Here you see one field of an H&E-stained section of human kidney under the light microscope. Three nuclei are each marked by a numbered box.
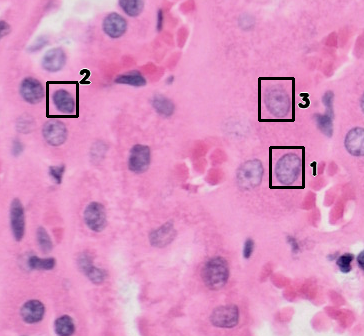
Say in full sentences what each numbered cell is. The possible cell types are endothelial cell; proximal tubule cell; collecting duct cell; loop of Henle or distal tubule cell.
Cells 1 and 3 are proximal tubule cells. Cell 2 is a loop of Henle or distal tubule cell.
